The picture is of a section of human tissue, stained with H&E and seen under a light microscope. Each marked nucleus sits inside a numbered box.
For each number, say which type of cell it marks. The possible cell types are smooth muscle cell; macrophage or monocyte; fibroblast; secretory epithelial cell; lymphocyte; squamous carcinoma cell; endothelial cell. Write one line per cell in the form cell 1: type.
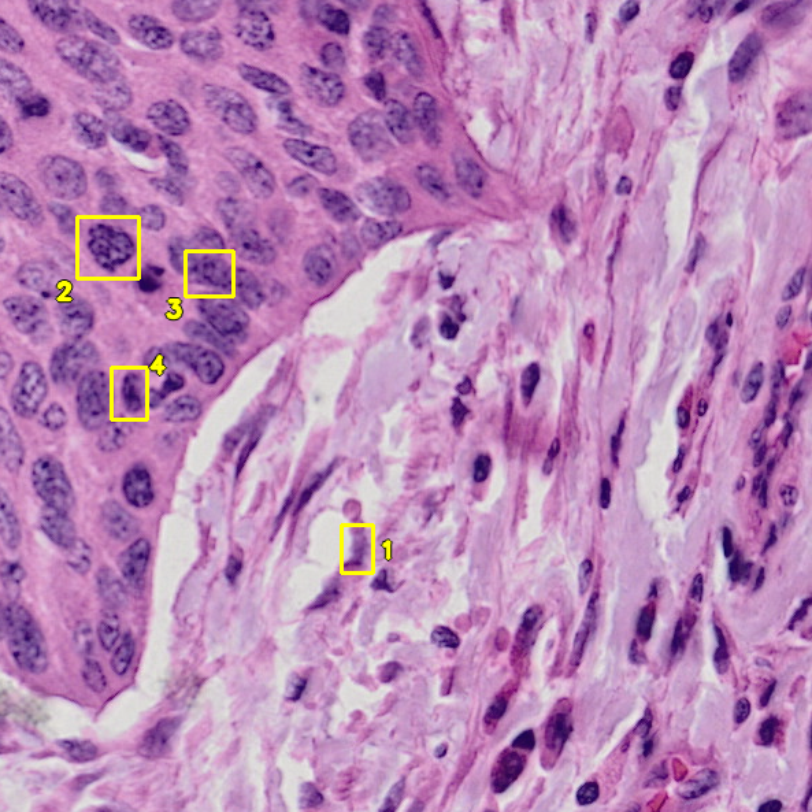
cell 1: fibroblast
cell 2: squamous carcinoma cell
cell 3: squamous carcinoma cell
cell 4: squamous carcinoma cell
